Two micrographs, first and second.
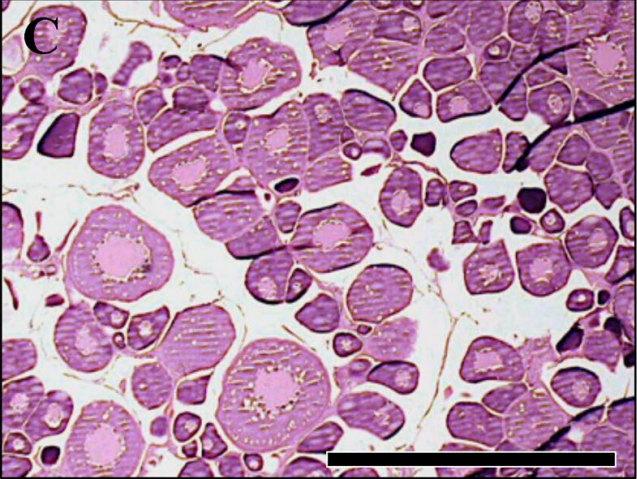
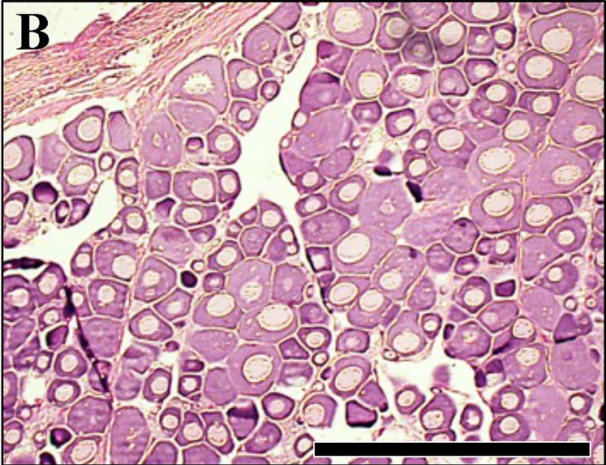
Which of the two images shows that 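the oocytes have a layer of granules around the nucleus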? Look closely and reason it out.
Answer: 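The first image. First image: larger round oocytes show a ring of small granules around the pale nucleus. Second image: oocytes have uniform purple cytoplasm with no granule ring.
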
